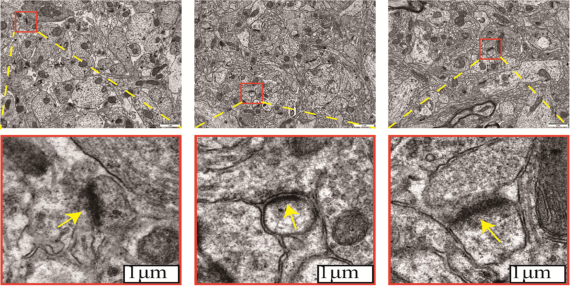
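In the enlargements, the yellow arrows point to synaptic contacts, where two membranes run parallel across a narrow cleft. On one side the membrane carries a dark, thickened electron-dense band, the postsynaptic density. Surrounding profiles contain mitochondria and pale cytoplasm bounded by thin membranes.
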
